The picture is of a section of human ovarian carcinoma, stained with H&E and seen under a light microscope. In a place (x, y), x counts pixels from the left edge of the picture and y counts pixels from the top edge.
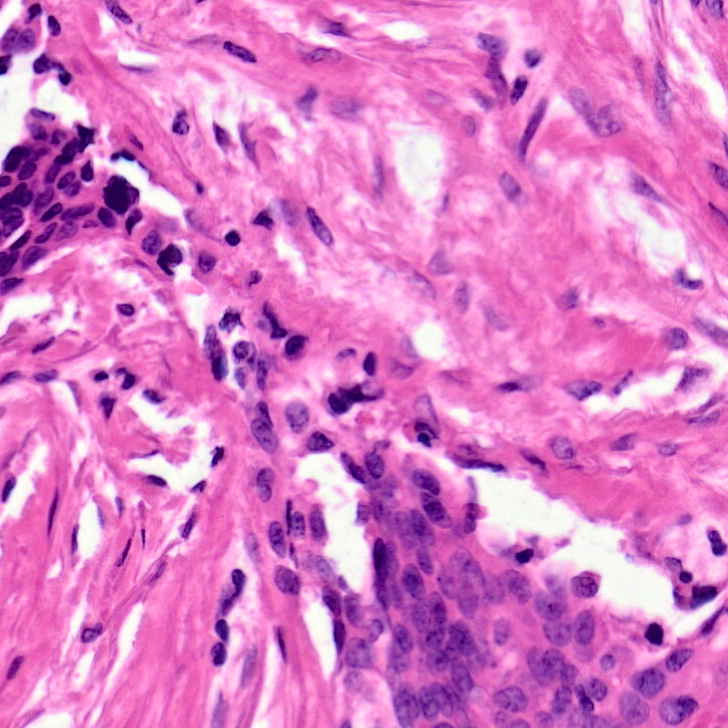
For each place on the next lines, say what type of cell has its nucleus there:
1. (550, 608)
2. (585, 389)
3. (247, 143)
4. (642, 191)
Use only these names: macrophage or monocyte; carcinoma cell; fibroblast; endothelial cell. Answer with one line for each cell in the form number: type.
1: carcinoma cell
2: fibroblast
3: fibroblast
4: fibroblast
